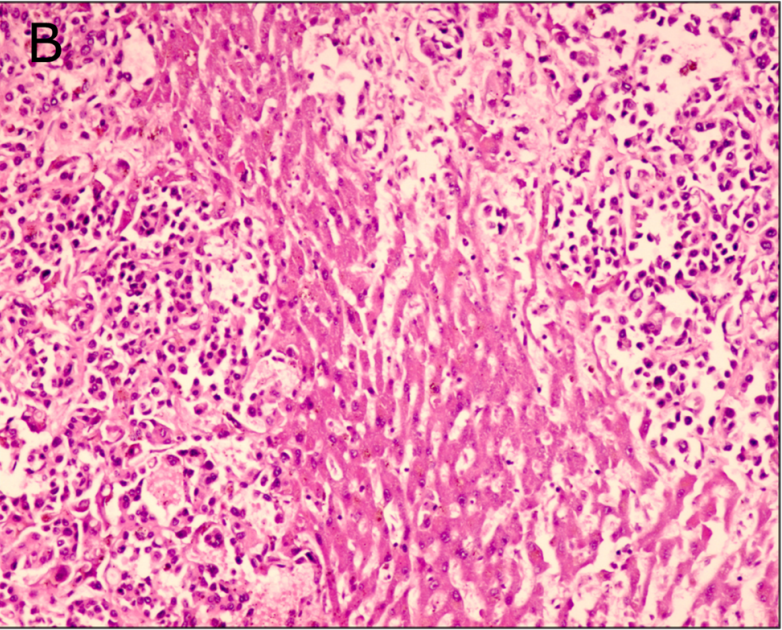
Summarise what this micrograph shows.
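A broad band of pink, polygonal liver cells arranged in cords runs diagonally through the centre, with granular eosinophilic cytoplasm and small round nuclei. On either side, loosely arranged atypical tumour cells with dark, irregular, enlarged nuclei and paler cytoplasm fill the tissue. They form only a few poorly defined gland-like spaces, lying in a loose, pale background. Scattered small brown granules and red blood cells are present. The tumour cells press into and between the liver cell cords at the margins of the band.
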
